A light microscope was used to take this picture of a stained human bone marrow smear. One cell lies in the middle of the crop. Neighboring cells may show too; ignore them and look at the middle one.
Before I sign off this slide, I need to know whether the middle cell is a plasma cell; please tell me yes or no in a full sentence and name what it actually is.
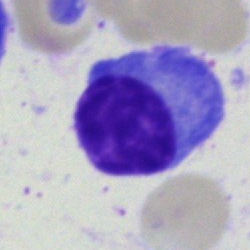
Yes, the cell in the middle of the view is a plasma cell.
